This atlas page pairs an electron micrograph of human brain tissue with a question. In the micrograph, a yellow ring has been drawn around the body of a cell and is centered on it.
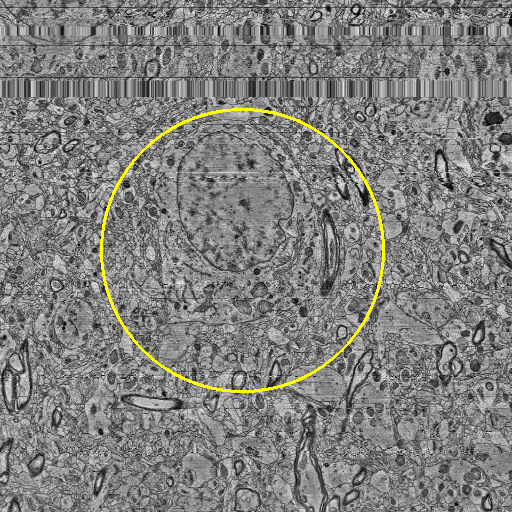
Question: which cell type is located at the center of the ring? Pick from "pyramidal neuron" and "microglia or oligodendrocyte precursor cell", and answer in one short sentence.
Located at the center of the ring is a pyramidal neuron.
